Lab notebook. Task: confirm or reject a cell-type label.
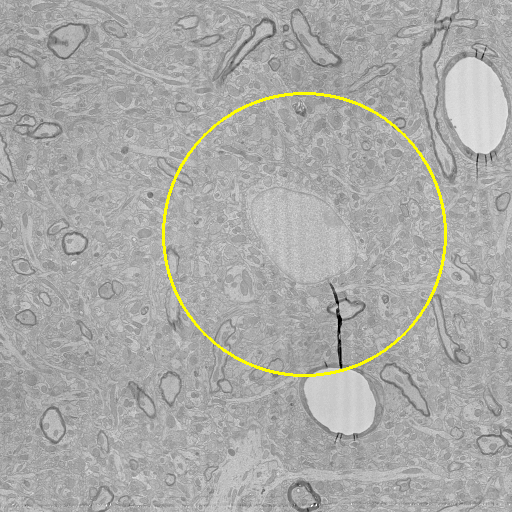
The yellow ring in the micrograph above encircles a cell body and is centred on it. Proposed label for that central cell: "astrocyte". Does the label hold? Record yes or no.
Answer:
yes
